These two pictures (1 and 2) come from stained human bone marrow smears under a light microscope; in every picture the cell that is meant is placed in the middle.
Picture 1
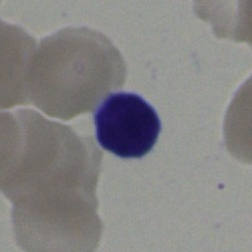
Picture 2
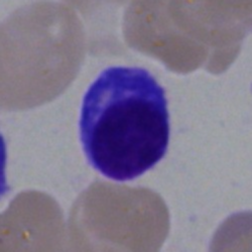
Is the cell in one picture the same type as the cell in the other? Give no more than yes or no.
no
